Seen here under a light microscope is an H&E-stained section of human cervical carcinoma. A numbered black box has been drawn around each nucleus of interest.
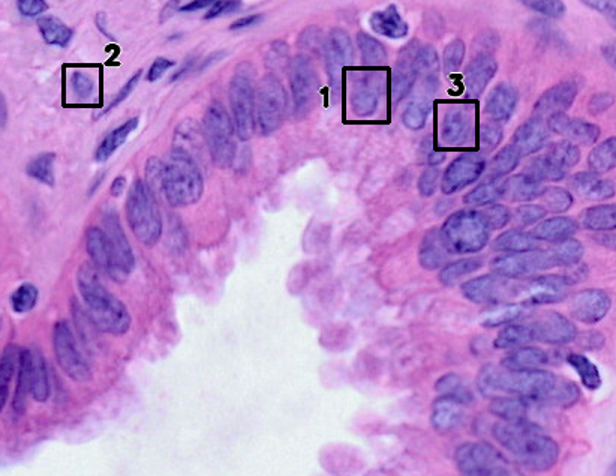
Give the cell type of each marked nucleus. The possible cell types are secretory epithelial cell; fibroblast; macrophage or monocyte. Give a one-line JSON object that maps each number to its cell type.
{"1": "secretory epithelial cell", "2": "fibroblast", "3": "secretory epithelial cell"}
